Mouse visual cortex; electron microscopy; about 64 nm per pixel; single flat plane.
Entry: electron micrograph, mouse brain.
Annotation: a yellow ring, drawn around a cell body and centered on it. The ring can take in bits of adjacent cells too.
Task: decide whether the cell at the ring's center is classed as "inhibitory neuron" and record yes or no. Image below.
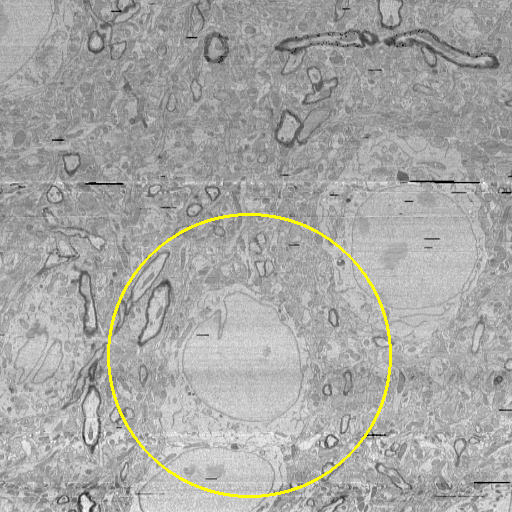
no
